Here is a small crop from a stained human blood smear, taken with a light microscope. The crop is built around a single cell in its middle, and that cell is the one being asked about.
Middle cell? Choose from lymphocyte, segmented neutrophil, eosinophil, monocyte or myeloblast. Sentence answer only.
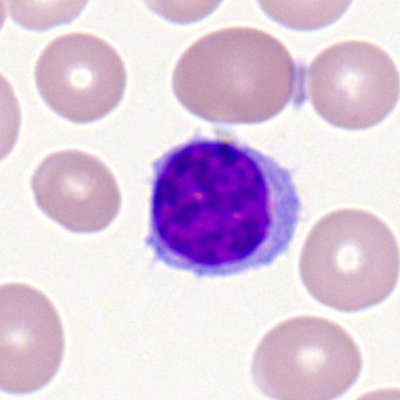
The cell in the exact centre of the crop is a lymphocyte.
